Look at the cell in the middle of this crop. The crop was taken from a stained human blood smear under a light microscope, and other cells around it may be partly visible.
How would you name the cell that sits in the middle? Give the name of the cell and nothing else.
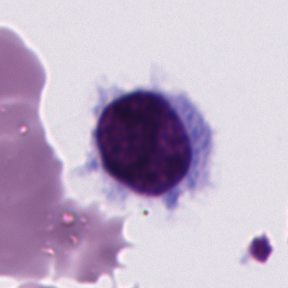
hairy cell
